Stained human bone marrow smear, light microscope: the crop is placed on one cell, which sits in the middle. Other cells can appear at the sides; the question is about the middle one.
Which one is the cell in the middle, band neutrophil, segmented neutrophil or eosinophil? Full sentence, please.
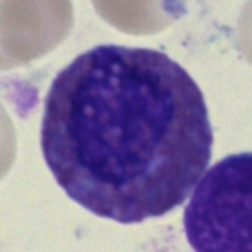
Regarding the central cell, it is an eosinophil.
